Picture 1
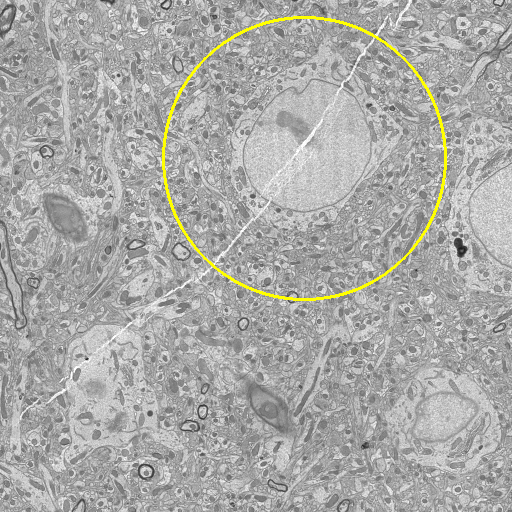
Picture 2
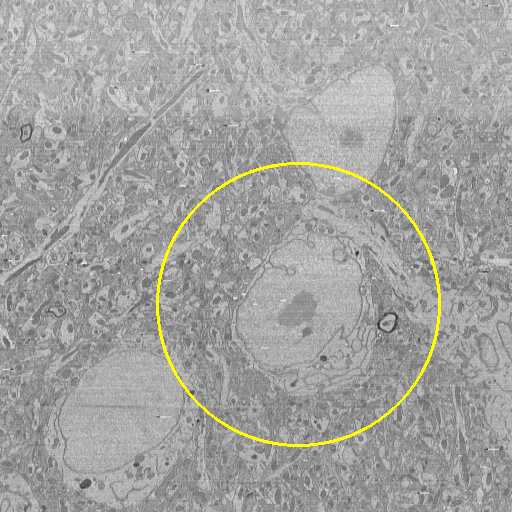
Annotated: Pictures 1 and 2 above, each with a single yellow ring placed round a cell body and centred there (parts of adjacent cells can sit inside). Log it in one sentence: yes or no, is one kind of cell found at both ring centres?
No, the ring centres of the two pictures hold cells of two kinds.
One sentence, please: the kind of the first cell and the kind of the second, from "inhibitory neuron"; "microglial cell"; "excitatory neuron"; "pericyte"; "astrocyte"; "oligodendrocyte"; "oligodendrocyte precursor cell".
The ring in the first picture surrounds an excitatory neuron, and the ring in the second surrounds an inhibitory neuron.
